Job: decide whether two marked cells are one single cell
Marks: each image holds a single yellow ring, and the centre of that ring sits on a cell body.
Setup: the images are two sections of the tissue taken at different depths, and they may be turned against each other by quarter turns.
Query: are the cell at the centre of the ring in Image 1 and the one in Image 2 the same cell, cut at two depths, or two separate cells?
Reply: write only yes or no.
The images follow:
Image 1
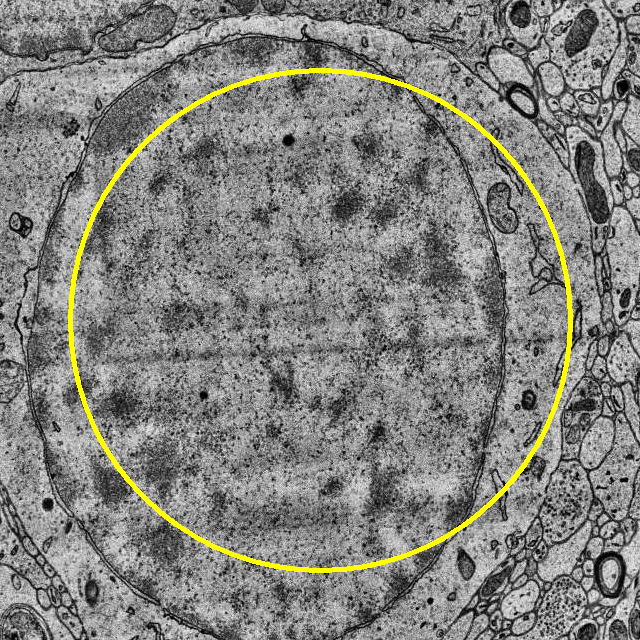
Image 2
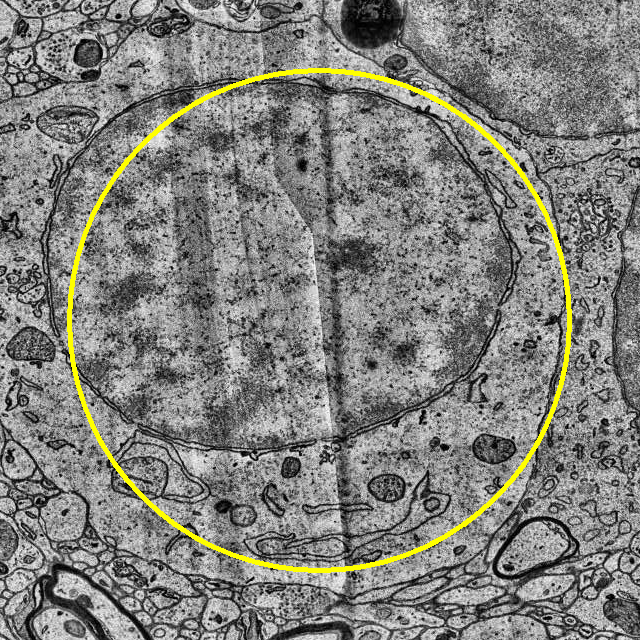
yes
